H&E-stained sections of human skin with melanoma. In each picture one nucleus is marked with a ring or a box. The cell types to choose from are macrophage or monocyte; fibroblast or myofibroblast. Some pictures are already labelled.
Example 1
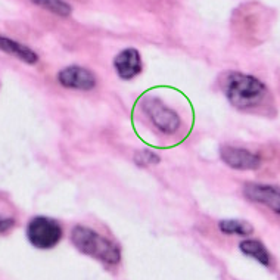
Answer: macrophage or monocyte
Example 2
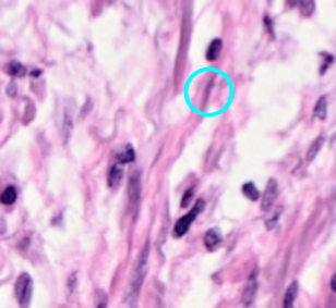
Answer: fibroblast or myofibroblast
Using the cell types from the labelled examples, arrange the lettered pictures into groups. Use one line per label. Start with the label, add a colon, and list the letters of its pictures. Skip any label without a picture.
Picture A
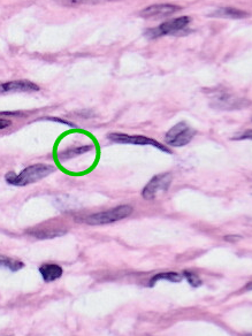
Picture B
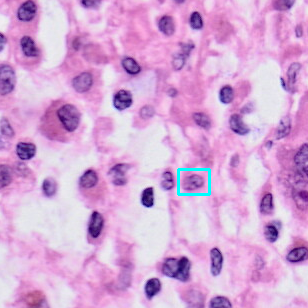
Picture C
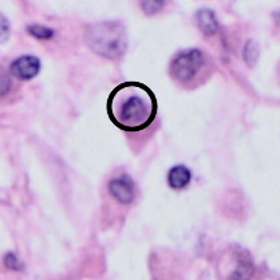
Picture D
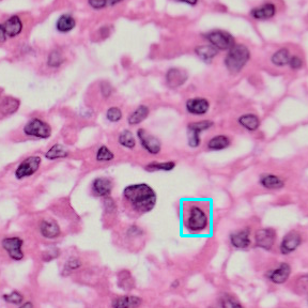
macrophage or monocyte: B, C, D
fibroblast or myofibroblast: A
